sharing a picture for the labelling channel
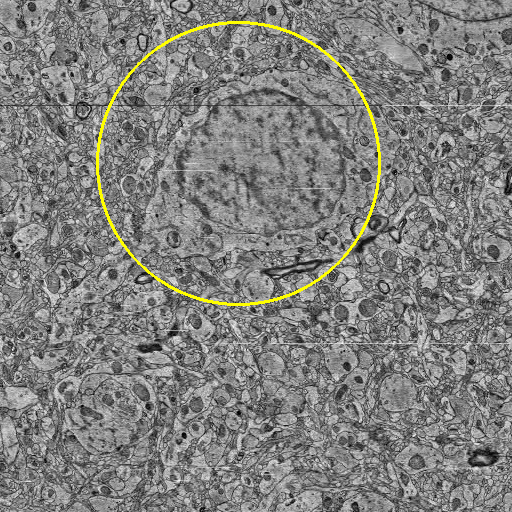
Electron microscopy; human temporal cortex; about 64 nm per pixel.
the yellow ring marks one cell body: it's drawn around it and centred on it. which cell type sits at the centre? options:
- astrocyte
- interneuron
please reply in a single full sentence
In the picture, the cell at the ring's centre is an interneuron, going by the list.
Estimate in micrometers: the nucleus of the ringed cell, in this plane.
The nucleus is approximately 10 micrometers across in this plane.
